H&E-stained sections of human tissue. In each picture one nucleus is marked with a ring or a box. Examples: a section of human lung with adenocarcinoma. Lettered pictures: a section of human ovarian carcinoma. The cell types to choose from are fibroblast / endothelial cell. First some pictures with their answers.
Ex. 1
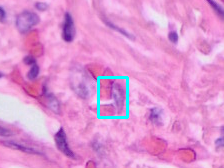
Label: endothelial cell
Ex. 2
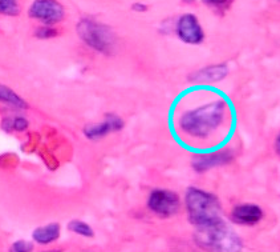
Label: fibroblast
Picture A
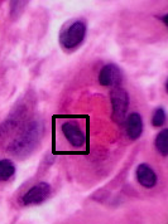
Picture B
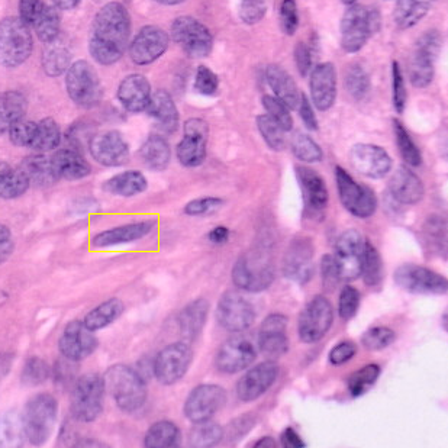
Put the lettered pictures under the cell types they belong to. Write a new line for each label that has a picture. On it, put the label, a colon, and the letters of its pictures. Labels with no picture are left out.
endothelial cell: A, B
